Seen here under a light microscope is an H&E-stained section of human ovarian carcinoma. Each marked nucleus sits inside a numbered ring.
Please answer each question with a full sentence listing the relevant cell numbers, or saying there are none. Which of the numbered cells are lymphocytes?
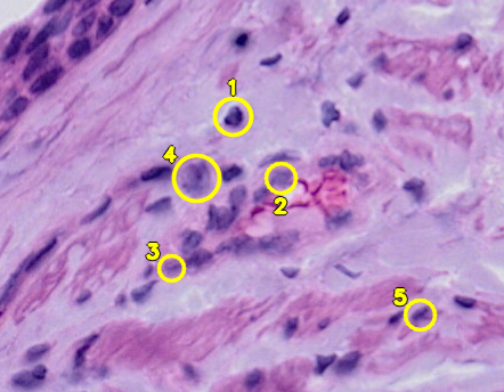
In short, cell 1 is a lymphocyte; the others are not.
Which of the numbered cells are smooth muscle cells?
Of all the numbered cells, only cell 5 is a smooth muscle cell.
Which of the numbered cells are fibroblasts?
There is only one numbered cell that is a fibroblast, and it is cell 4.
